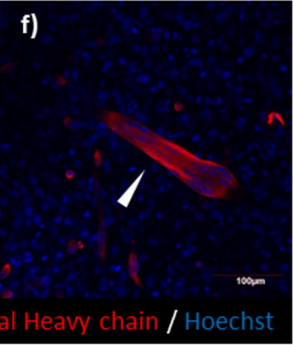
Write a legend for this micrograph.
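A dense culture of myoblasts, shown as many small, evenly scattered blue nuclei, with a few elongated cells stained red. The largest is a long, club-shaped myotube with a broad end that tapers into a thin tail. Smaller, thin red spindle-shaped cells lie nearby, and no green is visible anywhere.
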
